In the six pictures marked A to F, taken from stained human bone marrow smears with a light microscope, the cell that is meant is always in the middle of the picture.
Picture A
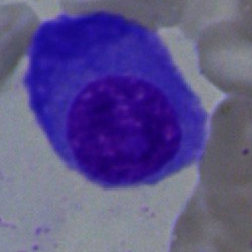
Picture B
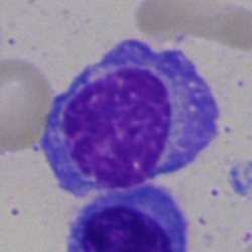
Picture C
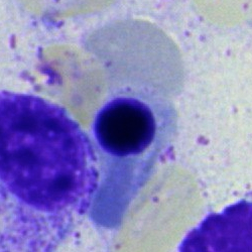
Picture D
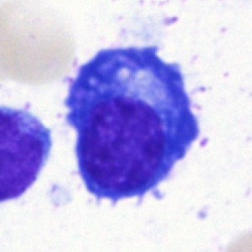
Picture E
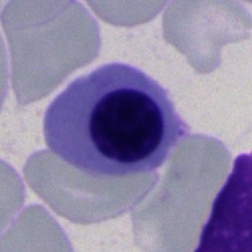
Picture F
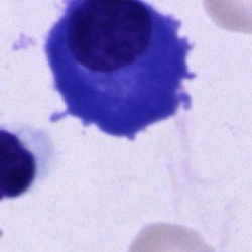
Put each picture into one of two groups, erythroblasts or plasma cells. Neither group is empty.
A: plasma cell
B: plasma cell
C: erythroblast
D: plasma cell
E: erythroblast
F: plasma cell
